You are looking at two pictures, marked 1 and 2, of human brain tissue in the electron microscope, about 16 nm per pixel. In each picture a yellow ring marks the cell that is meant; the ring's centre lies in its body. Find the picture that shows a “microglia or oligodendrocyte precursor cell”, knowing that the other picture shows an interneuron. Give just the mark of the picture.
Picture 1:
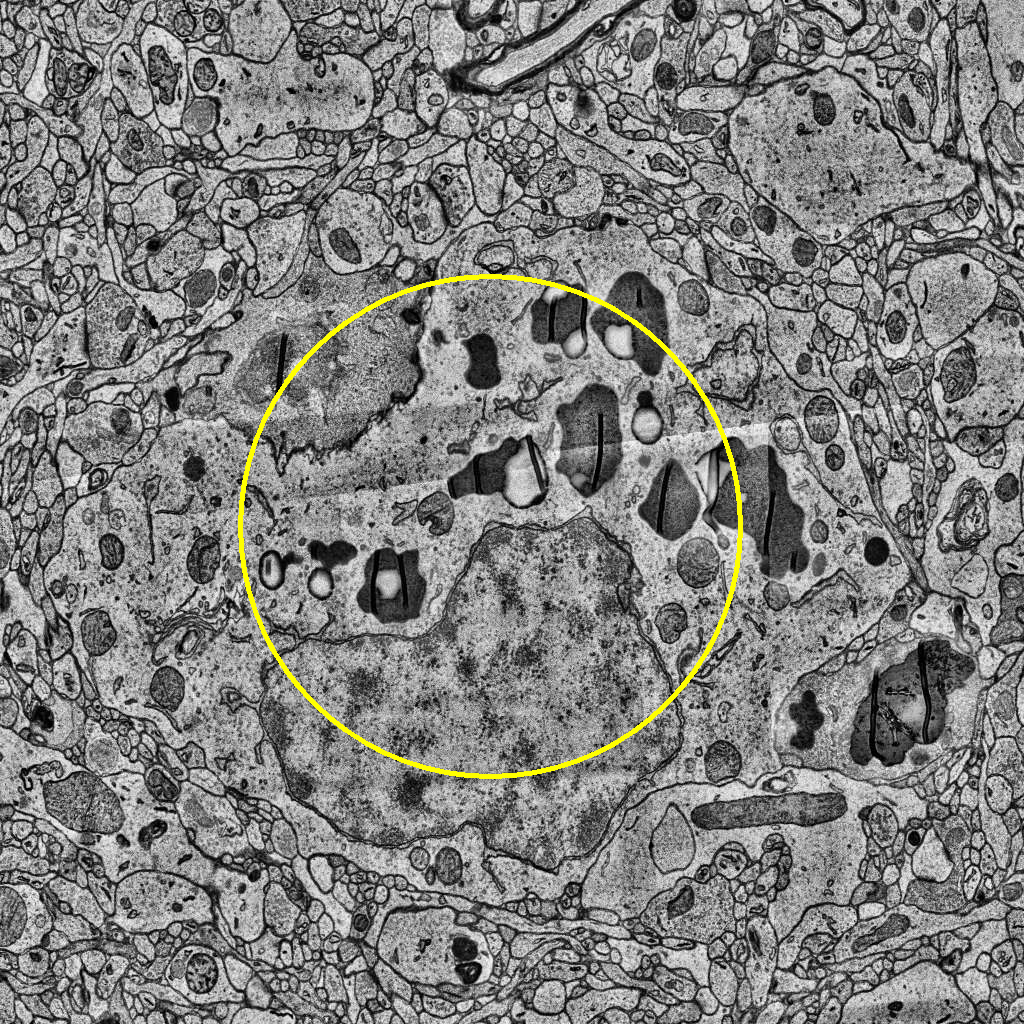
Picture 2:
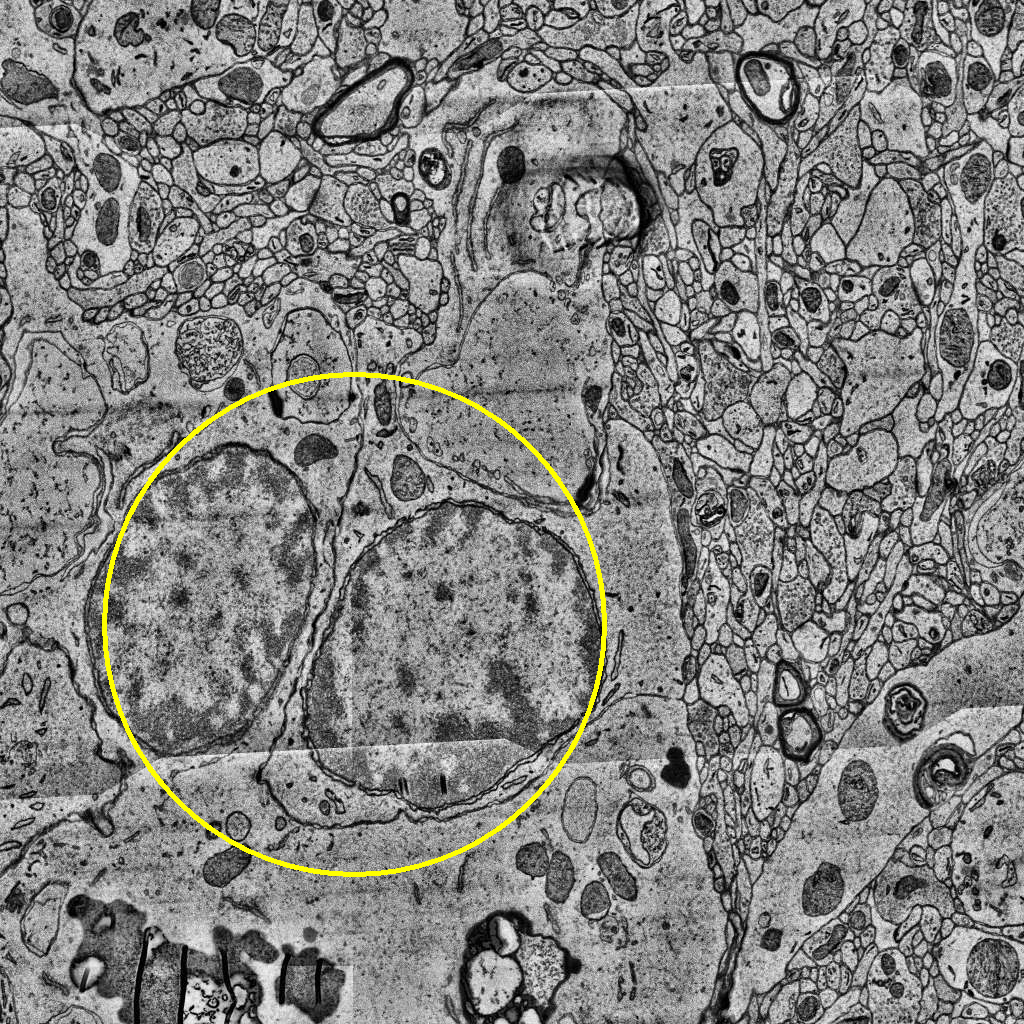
2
